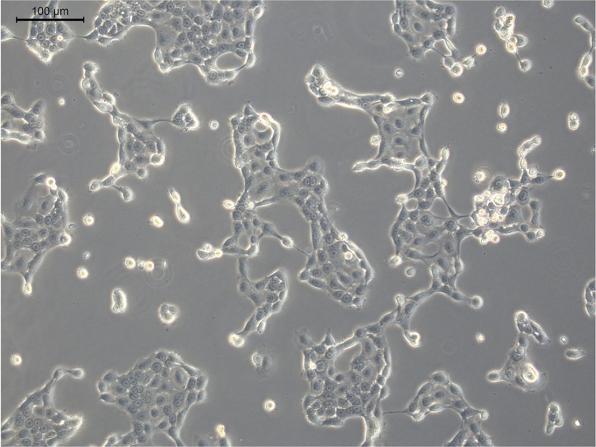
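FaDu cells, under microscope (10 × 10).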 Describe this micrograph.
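Adherent polygonal epithelial-like cells in culture, seen by phase contrast, gathered in compact, irregular islands and cords with wide empty spaces between them. Within the islands the cells lie tightly side by side in a cobblestone pattern, each with a rounded, darker nucleus and a pale, flat cytoplasm. Edges of the islands are ragged, and a few short, thin projections reach out from them. Scattered round, bright, refractile cells lie free between the groups, apparently rounded or detached. Some small clusters of two to a few cells sit apart from the larger islands.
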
